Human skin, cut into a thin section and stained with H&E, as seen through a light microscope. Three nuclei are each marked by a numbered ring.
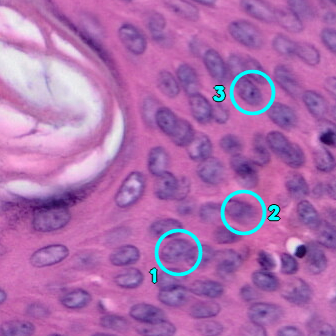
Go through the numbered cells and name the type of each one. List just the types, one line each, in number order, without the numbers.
suprabasal keratinocyte
basal keratinocyte
suprabasal keratinocyte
